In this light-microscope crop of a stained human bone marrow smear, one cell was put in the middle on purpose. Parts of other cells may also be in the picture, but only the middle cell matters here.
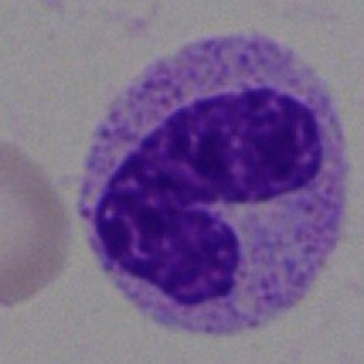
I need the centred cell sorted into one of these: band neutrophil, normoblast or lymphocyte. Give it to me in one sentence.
The cell of interest, in the center, is a band neutrophil.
